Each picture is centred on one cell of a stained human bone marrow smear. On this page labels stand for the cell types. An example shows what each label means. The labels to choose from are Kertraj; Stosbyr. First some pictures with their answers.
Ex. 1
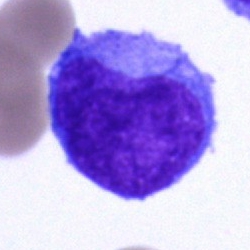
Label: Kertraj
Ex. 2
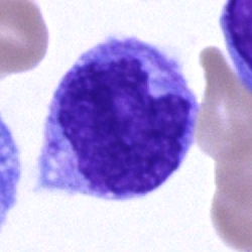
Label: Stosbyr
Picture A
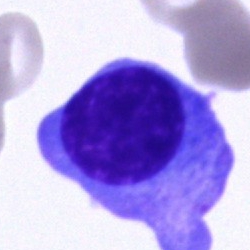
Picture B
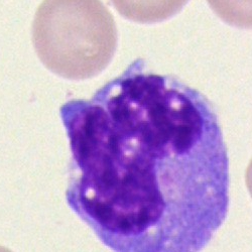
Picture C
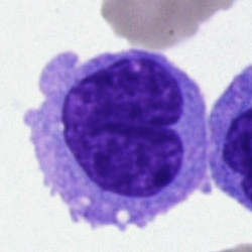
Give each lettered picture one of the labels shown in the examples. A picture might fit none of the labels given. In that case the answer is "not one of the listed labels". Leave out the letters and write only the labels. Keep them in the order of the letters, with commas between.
not one of the listed labels, Stosbyr, Stosbyr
